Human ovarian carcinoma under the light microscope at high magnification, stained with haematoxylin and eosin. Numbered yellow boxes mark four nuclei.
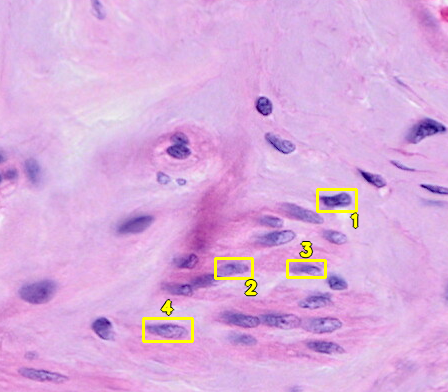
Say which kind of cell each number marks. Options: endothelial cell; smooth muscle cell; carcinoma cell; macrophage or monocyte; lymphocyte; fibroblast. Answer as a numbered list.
1. fibroblast
2. smooth muscle cell
3. smooth muscle cell
4. smooth muscle cell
